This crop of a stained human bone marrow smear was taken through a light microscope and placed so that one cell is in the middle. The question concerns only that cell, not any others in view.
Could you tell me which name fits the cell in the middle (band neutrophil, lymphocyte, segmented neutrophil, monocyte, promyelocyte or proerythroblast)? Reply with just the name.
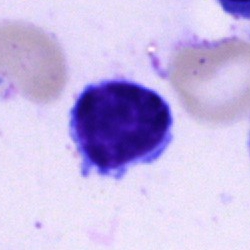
lymphocyte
